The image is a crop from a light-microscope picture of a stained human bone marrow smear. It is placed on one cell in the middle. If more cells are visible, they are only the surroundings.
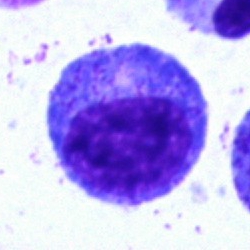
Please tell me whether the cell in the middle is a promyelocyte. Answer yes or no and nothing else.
yes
